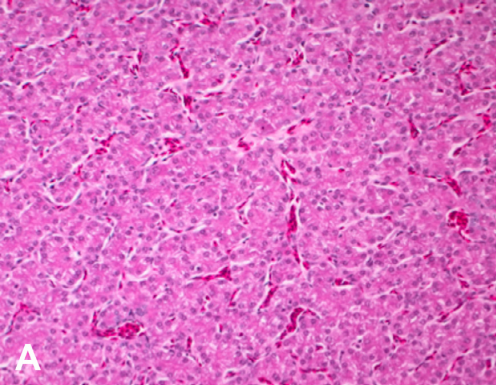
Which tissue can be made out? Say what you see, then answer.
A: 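Cords of polygonal cells with central round nuclei and pink cytoplasm. Narrow blood-filled sinusoids run between the cords. On this evidence: liver.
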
